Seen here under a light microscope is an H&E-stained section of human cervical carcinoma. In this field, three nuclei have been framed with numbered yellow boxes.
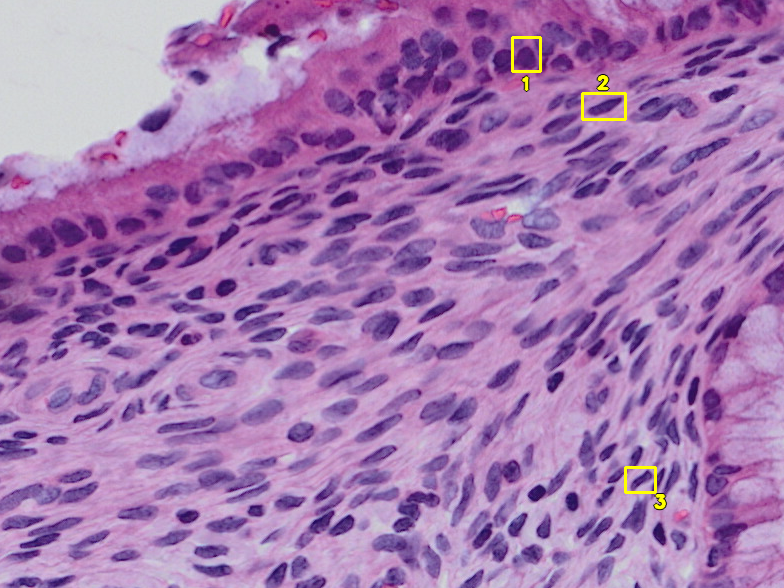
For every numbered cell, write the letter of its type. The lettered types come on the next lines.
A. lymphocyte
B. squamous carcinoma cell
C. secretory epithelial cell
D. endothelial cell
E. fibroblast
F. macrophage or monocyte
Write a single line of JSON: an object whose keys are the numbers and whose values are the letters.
{"1": "C", "2": "E", "3": "E"}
